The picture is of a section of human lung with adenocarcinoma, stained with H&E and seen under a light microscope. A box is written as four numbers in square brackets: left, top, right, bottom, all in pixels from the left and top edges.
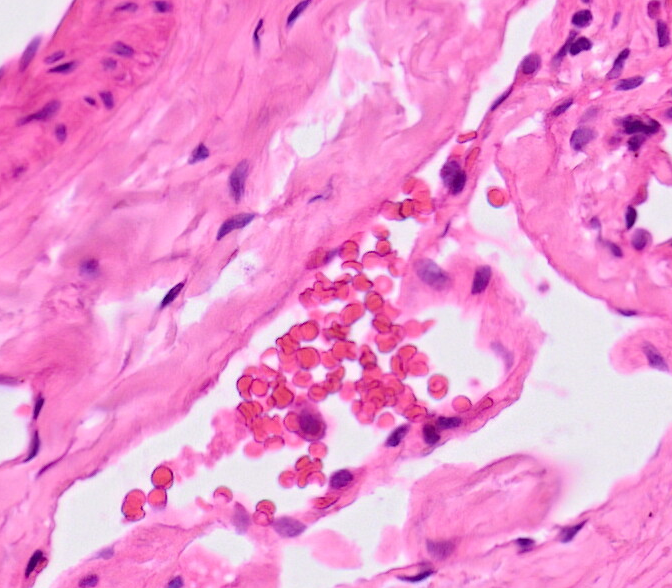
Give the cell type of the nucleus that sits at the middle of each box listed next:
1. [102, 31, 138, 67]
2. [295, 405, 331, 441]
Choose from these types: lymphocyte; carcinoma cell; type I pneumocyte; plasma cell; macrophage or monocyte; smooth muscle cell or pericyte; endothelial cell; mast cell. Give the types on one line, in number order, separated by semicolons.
smooth muscle cell or pericyte; macrophage or monocyte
